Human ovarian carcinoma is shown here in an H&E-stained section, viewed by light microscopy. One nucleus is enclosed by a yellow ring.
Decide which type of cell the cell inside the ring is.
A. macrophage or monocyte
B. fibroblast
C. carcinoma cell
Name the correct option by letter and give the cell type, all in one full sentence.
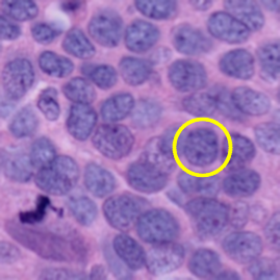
Option C is right, and the cell inside the ring is a carcinoma cell.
